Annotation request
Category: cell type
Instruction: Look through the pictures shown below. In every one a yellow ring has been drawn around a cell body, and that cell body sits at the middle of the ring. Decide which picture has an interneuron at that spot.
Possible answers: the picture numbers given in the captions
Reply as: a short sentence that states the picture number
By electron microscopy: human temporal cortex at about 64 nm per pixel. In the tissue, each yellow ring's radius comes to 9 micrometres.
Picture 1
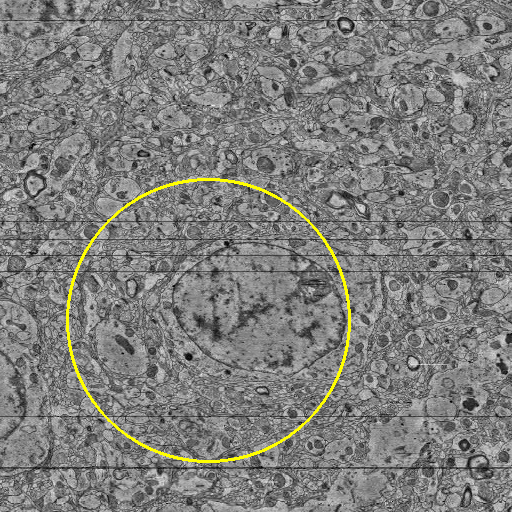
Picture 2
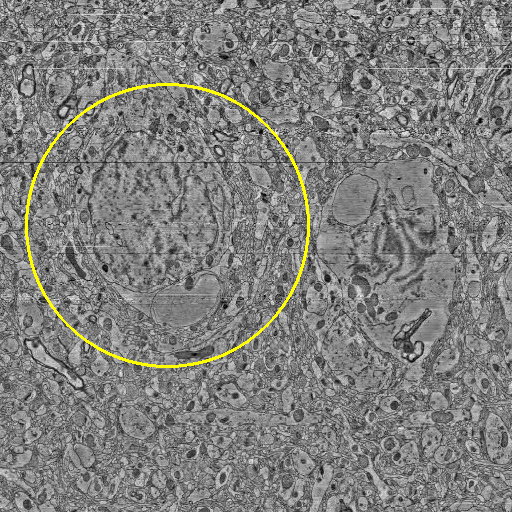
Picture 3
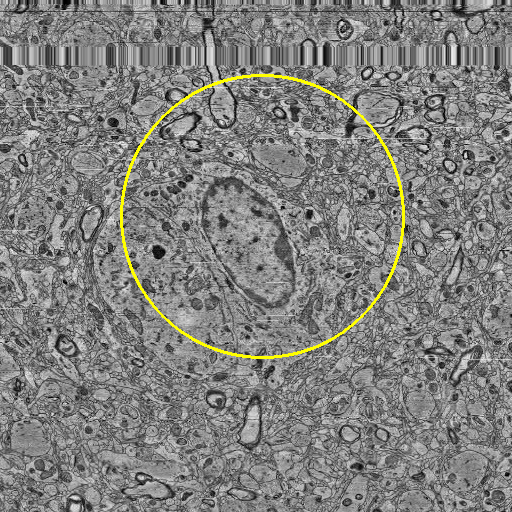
It is in Picture 2.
